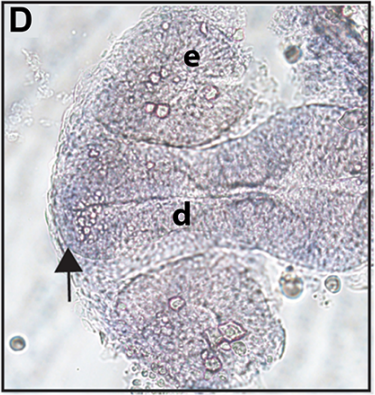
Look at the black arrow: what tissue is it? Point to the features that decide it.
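The arrow points at the most anterior tip of the brain. The marked region lies at the front of the head, anterior to and between the paired eyes. The answer: telencephalon.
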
